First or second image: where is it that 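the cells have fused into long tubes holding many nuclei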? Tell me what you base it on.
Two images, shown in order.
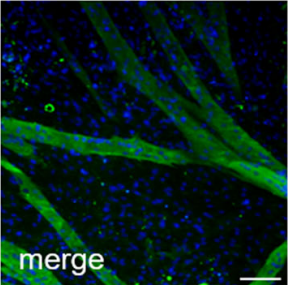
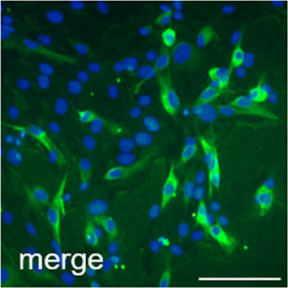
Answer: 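First image: long green tubes with rows of several blue nuclei inside. Second image: separate small green cells, each with one nucleus.
The first image.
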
